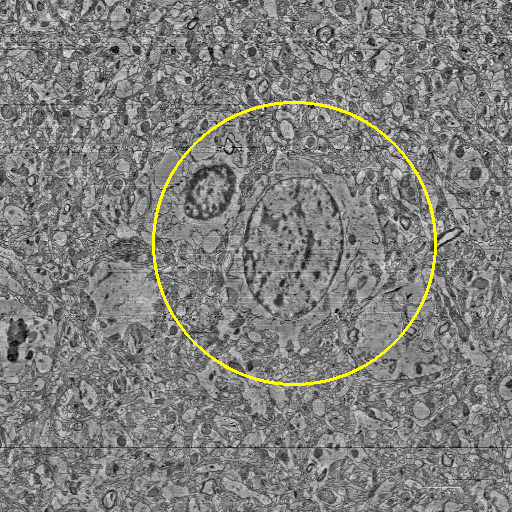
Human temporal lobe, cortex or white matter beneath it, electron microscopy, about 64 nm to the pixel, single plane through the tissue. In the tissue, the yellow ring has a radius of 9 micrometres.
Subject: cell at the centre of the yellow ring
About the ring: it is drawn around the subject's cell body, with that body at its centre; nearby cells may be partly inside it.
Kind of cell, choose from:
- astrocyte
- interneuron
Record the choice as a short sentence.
The subject cell is an astrocyte.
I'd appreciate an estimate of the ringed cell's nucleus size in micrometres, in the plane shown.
In this plane the nucleus is clearly longer than it is wide, at approximately 10 by 6 micrometres.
